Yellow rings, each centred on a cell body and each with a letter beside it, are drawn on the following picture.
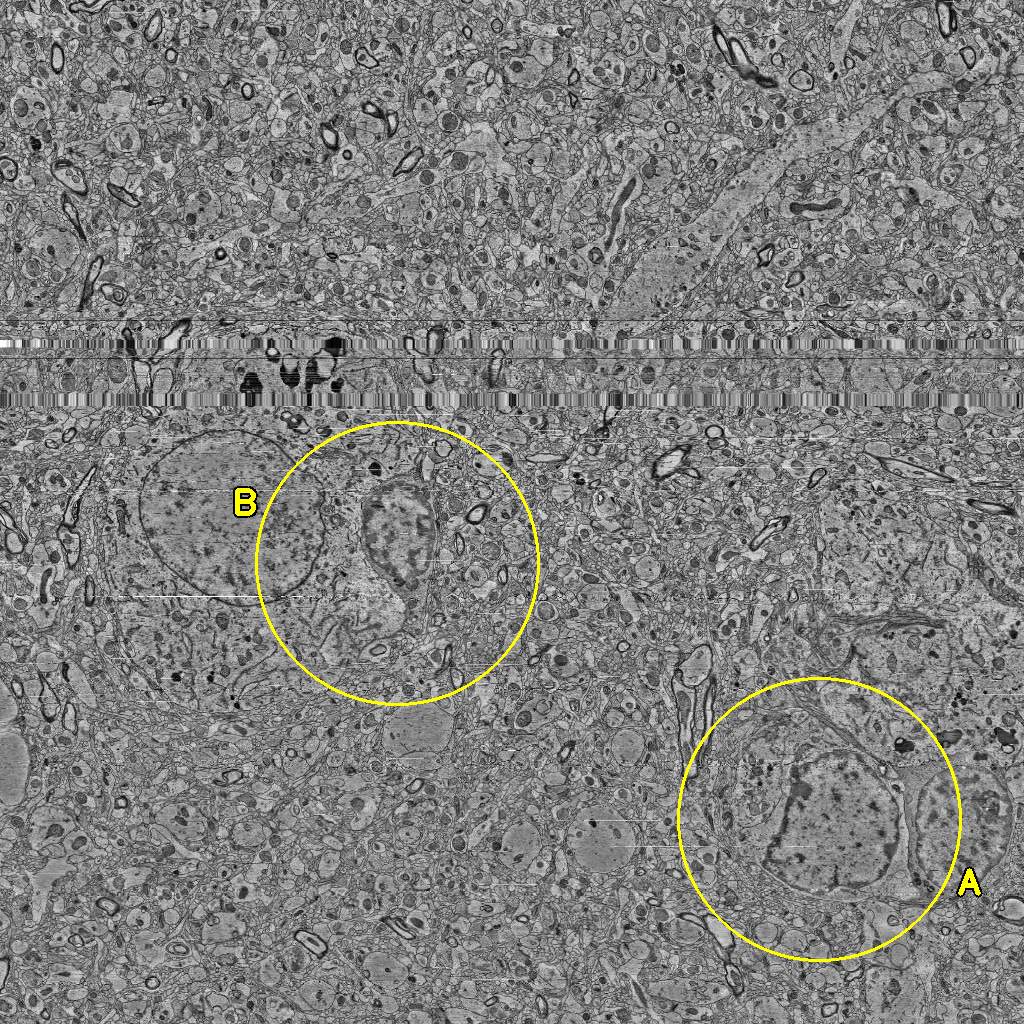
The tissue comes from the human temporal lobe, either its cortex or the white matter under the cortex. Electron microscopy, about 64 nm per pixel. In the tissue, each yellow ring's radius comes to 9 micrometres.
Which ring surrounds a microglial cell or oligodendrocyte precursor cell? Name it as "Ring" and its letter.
Ring A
